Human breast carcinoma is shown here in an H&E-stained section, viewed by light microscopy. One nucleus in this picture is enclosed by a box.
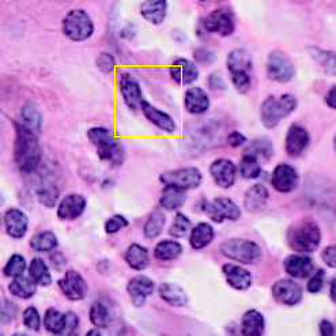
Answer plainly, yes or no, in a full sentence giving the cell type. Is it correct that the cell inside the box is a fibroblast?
No, write a lymphocyte for the cell inside the box rather than a fibroblast.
